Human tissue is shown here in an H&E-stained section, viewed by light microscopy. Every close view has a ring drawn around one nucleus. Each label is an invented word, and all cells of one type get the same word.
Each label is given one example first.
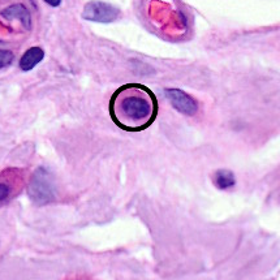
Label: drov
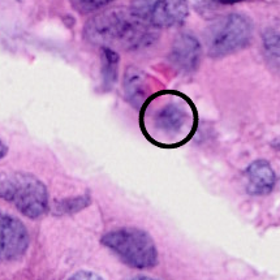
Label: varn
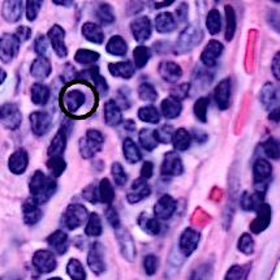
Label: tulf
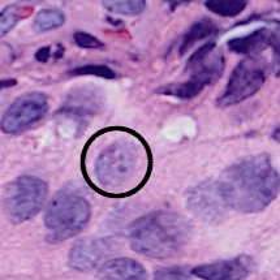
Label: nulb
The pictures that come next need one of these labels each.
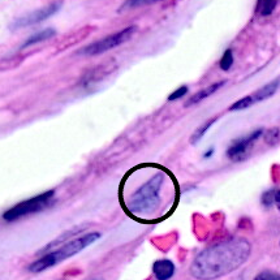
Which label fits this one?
varn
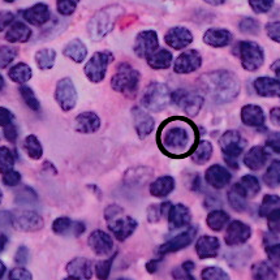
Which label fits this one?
tulf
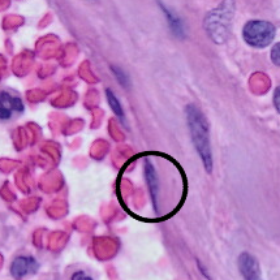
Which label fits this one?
varn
